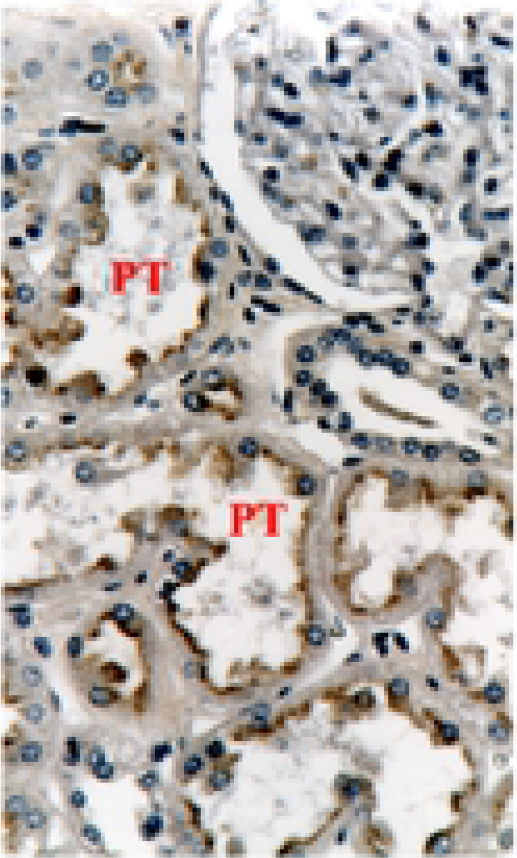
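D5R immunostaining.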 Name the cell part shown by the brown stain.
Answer: Luminal.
